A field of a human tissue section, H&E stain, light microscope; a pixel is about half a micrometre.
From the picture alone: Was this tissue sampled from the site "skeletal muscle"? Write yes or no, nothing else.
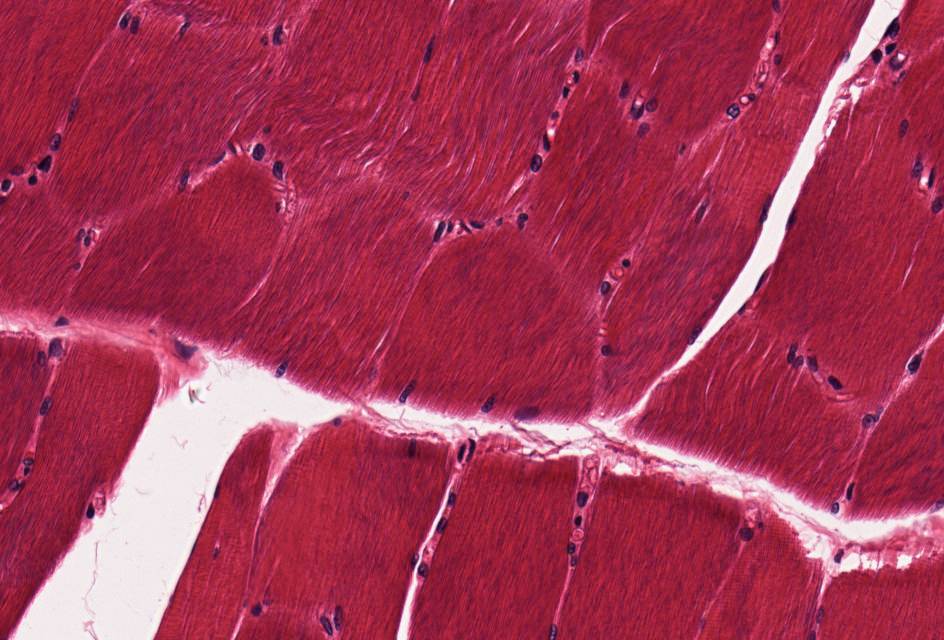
yes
